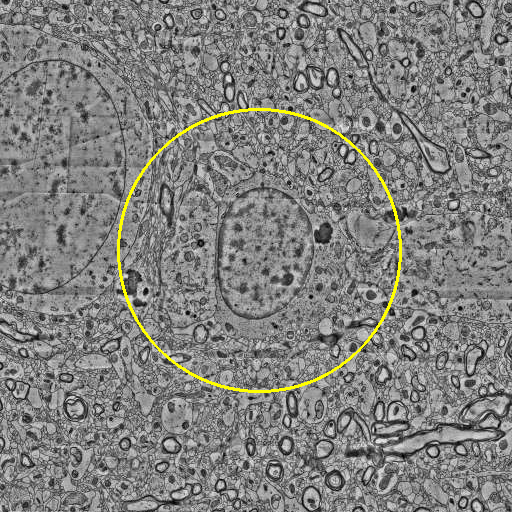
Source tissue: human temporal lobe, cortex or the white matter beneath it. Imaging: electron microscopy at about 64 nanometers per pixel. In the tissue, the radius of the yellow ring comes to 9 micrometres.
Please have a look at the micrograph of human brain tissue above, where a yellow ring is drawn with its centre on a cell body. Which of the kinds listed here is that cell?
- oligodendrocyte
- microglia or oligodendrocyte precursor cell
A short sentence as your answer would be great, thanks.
At the centre of the ring sits an oligodendrocyte.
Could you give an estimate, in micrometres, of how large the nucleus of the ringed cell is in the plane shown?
The nucleus appears roughly 8 by 6 micrometres in this plane.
